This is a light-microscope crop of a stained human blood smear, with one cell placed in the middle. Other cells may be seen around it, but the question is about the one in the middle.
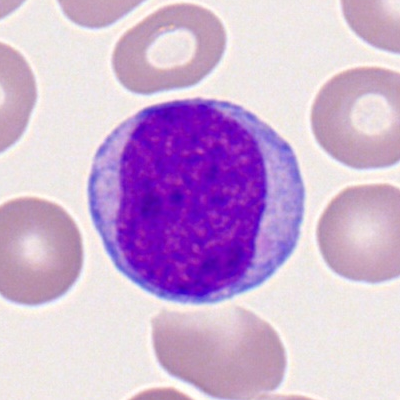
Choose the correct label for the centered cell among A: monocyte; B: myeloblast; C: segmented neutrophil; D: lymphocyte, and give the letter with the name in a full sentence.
Option B is correct, naming the cell in the middle as a myeloblast.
